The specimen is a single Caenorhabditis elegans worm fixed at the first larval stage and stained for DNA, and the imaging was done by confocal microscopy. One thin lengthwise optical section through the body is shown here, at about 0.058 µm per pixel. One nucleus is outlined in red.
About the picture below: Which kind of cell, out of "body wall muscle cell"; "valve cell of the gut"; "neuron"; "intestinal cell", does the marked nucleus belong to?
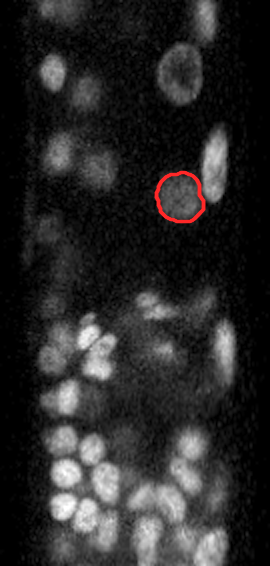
intestinal cell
